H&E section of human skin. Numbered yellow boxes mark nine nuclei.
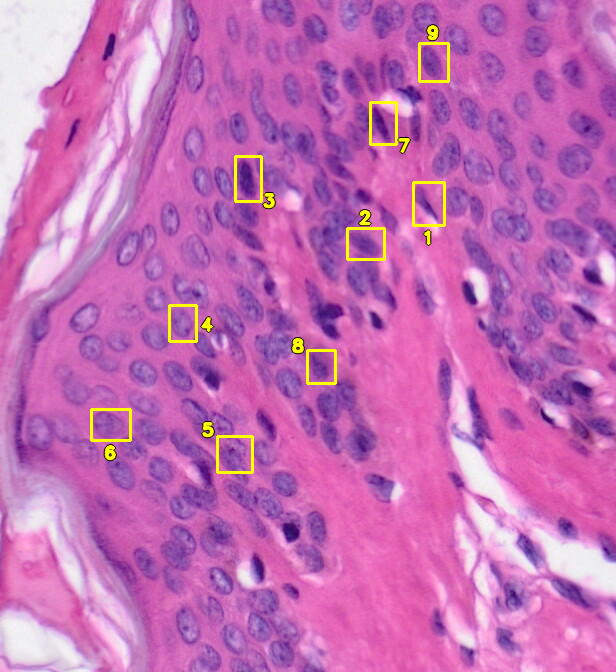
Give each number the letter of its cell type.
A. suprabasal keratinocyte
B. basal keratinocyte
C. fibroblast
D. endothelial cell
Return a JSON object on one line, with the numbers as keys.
{"1": "C", "2": "B", "3": "B", "4": "A", "5": "B", "6": "A", "7": "B", "8": "B", "9": "A"}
